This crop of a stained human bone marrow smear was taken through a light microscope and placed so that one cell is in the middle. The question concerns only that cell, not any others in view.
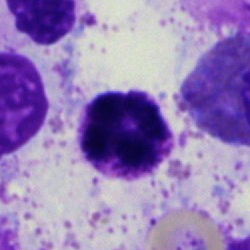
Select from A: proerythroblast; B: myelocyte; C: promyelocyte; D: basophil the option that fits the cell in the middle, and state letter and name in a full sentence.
The central cell of the crop is a basophil, which makes D the correct option.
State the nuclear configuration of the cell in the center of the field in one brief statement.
The nucleus holds together as a single compact mass, round, oval or kidney-like.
